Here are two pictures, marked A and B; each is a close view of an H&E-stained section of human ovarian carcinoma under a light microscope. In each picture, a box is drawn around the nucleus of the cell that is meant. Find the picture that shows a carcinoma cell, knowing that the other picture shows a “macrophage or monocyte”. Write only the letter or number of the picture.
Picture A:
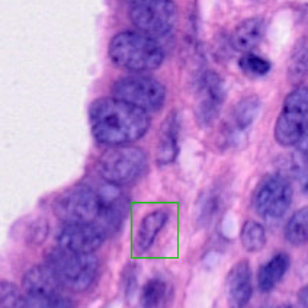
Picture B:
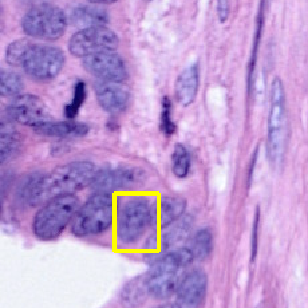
B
